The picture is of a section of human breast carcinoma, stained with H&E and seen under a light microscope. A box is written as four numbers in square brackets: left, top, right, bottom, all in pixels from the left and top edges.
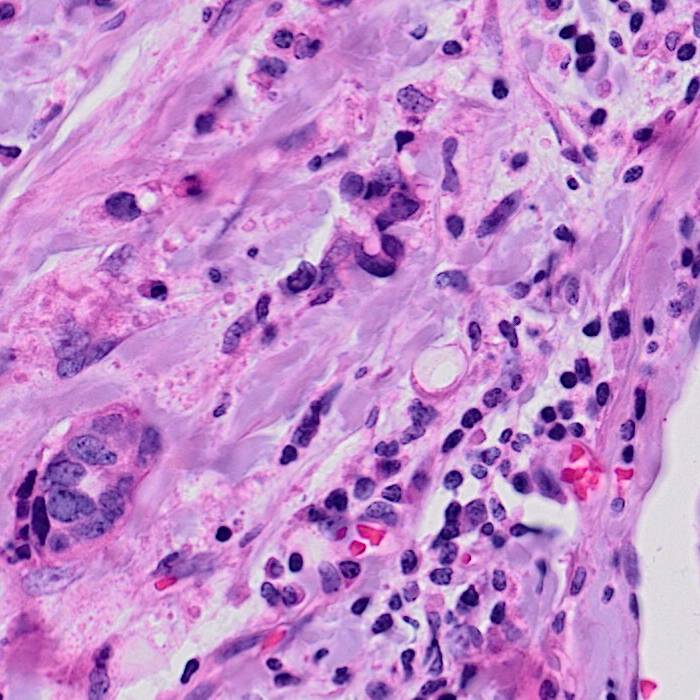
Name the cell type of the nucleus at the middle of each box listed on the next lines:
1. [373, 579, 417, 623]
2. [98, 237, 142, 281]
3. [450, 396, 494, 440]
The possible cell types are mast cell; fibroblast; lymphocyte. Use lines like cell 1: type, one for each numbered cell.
cell 1: lymphocyte
cell 2: fibroblast
cell 3: lymphocyte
